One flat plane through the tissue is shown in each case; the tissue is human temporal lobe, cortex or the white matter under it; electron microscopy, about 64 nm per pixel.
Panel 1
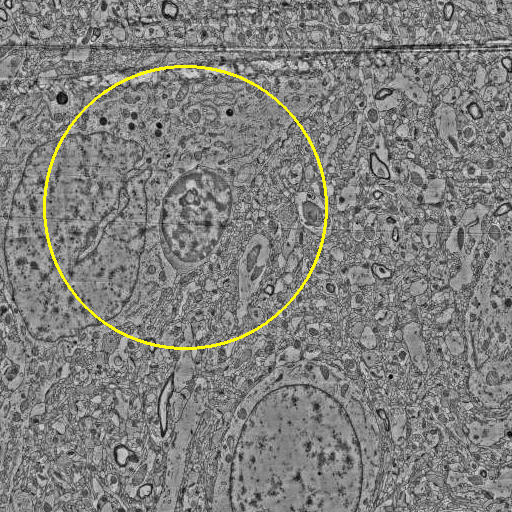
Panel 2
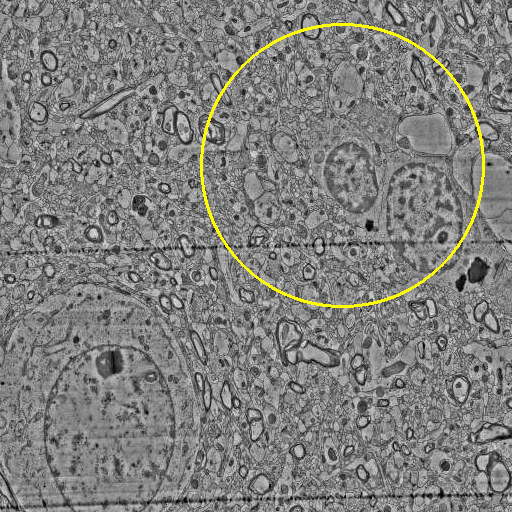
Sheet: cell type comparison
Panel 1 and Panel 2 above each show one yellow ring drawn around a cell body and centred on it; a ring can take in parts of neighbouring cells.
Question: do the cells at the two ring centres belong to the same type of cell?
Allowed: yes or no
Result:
yes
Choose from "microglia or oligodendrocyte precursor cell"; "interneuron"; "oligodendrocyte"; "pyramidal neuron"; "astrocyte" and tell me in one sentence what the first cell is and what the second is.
Each of the two pictures has an oligodendrocyte at the ring centre.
